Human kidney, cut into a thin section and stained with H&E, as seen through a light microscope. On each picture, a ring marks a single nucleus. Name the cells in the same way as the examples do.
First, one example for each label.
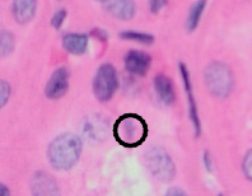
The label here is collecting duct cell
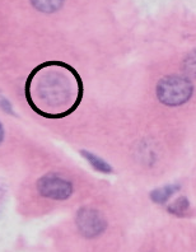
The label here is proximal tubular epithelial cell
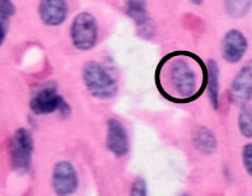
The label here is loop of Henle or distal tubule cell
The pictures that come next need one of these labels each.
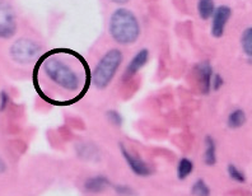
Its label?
collecting duct cell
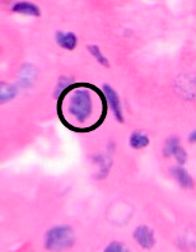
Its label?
collecting duct cell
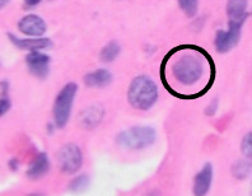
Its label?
loop of Henle or distal tubule cell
